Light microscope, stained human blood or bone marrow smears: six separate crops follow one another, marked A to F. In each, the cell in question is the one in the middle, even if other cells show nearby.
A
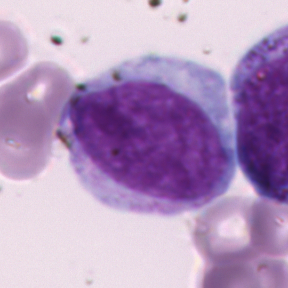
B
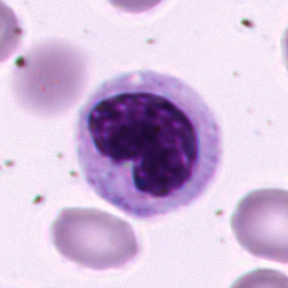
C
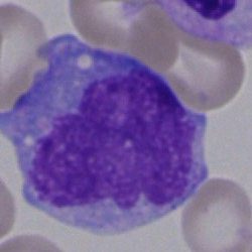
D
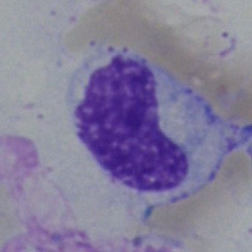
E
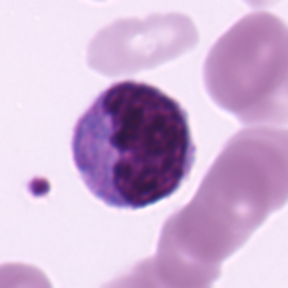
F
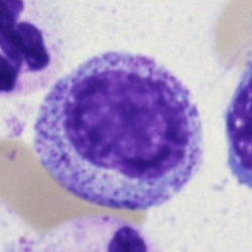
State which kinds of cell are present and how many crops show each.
myelocyte: 2
band neutrophil: 2
monocyte: 2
